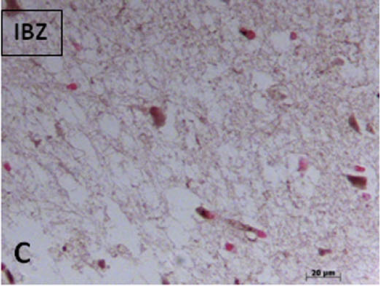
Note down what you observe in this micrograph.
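The background tissue is a pale, loose, finely fibrillary and vacuolated meshwork. The stained cells are irregular in shape, several of them elongated or spindle-like, and they lie singly and apart from one another. One elongated stained profile lies along a linear streak in the lower part of the field. Round unstained cell bodies are hardly seen, giving the tissue a disrupted, spongy appearance.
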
